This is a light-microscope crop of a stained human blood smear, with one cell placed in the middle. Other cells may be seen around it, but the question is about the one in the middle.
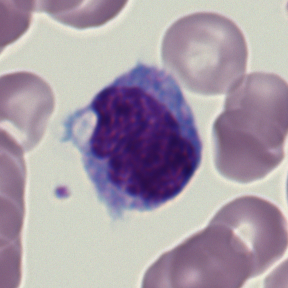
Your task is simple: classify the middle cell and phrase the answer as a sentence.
The cell at the middle of the frame should be recorded as a monocyte.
